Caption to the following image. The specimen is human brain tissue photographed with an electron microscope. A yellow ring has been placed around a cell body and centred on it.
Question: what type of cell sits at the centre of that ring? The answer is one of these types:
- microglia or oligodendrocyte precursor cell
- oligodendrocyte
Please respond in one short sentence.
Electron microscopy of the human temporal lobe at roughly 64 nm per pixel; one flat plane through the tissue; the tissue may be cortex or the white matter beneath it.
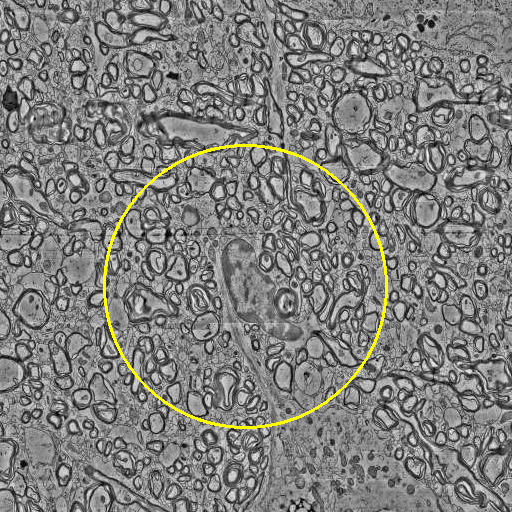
The ring surrounds the cell body of a microglial cell or oligodendrocyte precursor cell.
